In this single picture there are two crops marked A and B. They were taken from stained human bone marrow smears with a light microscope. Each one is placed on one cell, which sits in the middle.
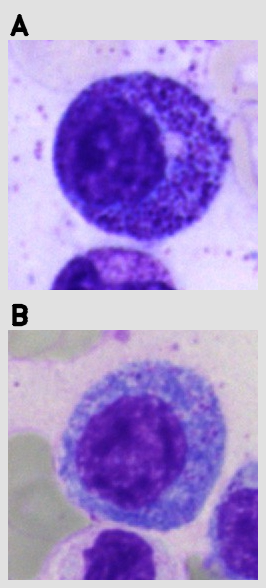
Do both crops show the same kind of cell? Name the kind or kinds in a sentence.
Yes, the first and the second crop both show promyelocytes.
